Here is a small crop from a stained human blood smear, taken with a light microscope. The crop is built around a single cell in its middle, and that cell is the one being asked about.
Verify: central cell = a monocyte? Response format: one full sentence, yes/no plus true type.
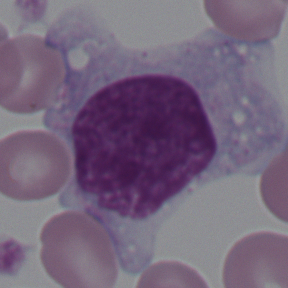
Yes, the cell occupying the center is a monocyte.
